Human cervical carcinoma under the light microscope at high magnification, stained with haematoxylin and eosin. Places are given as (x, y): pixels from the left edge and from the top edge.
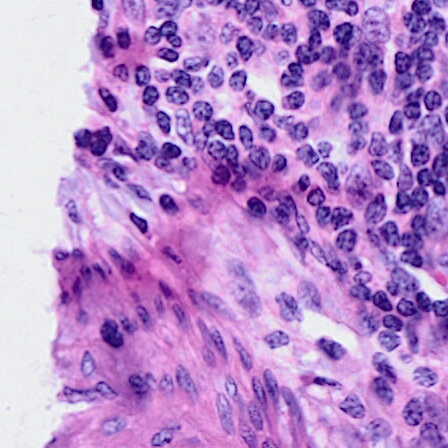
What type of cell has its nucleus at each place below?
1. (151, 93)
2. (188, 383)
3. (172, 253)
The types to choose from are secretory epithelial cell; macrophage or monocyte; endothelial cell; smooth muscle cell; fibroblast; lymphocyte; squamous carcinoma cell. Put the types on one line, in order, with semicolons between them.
lymphocyte; smooth muscle cell; endothelial cell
